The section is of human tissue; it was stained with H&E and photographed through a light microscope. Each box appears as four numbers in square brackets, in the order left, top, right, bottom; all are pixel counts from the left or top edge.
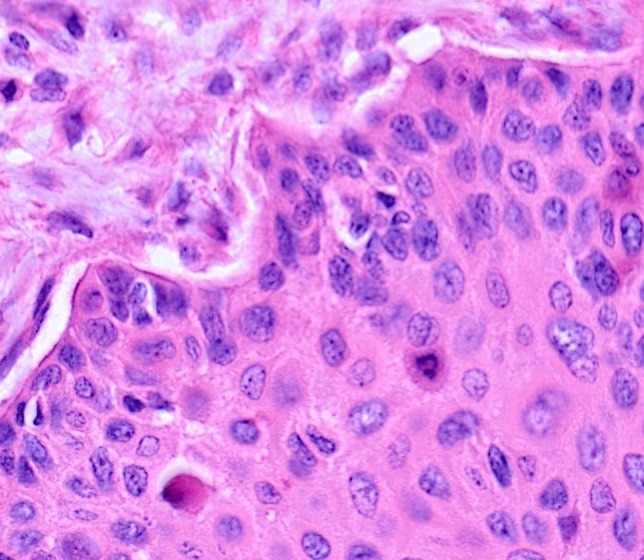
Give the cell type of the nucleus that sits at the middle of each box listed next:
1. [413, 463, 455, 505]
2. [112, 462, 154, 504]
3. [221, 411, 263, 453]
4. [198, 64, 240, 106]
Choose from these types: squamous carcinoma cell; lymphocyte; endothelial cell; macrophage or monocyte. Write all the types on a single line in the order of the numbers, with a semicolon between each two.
squamous carcinoma cell; squamous carcinoma cell; squamous carcinoma cell; macrophage or monocyte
